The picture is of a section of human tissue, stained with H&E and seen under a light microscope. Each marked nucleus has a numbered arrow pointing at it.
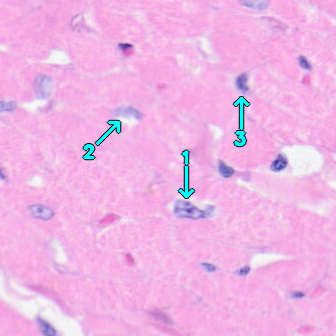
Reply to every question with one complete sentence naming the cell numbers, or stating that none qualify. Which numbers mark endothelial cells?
Cell 3 is an endothelial cell and is the only numbered cell of that kind.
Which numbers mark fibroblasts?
The numbered cells include no fibroblasts at all.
